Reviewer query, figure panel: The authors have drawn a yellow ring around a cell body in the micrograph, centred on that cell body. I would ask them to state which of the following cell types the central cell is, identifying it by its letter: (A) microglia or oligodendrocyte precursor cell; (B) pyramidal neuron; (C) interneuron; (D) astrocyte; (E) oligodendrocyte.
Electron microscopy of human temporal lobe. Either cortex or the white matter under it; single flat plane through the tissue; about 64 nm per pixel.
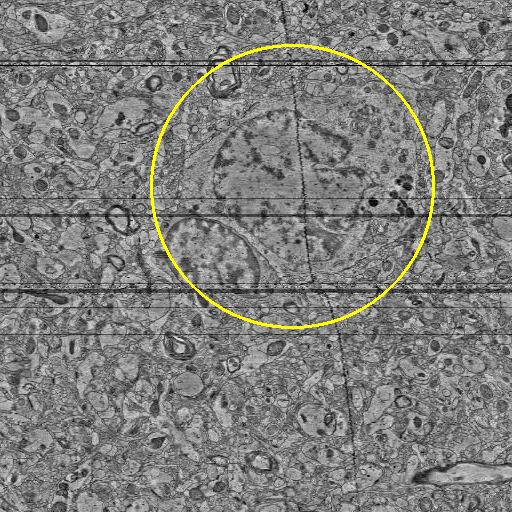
C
